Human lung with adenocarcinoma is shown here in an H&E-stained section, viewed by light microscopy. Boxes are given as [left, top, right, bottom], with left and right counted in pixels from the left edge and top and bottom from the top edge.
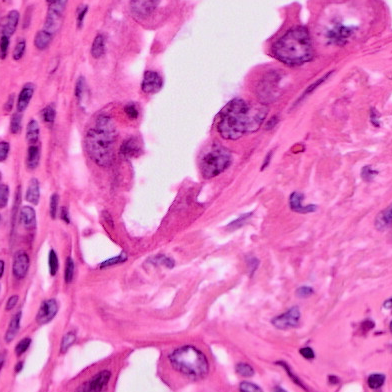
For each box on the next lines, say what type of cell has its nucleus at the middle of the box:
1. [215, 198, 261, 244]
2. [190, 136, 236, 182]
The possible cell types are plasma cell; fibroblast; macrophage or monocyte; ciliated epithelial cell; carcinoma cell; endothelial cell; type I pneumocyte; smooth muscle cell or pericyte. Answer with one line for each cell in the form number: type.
1: fibroblast
2: carcinoma cell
